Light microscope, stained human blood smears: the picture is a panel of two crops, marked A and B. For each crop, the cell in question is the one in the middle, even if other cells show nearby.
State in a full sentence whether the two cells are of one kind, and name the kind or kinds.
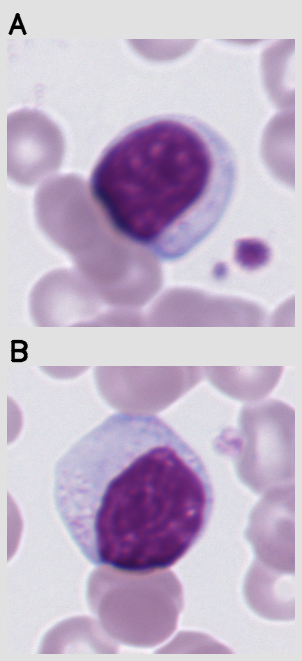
Yes, at the centre of both crops are large granular lymphocytes.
